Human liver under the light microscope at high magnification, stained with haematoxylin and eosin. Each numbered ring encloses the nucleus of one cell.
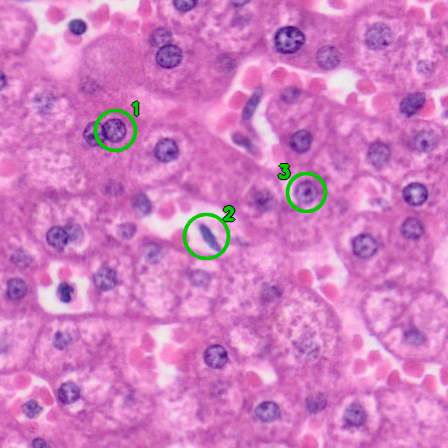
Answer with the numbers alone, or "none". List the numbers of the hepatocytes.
1, 3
